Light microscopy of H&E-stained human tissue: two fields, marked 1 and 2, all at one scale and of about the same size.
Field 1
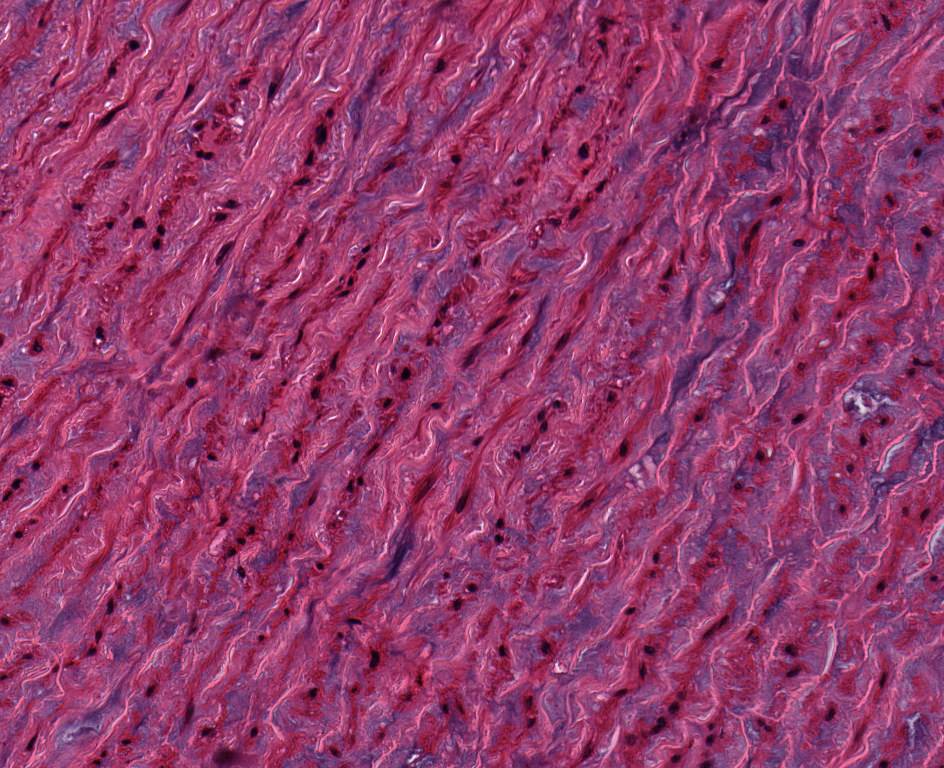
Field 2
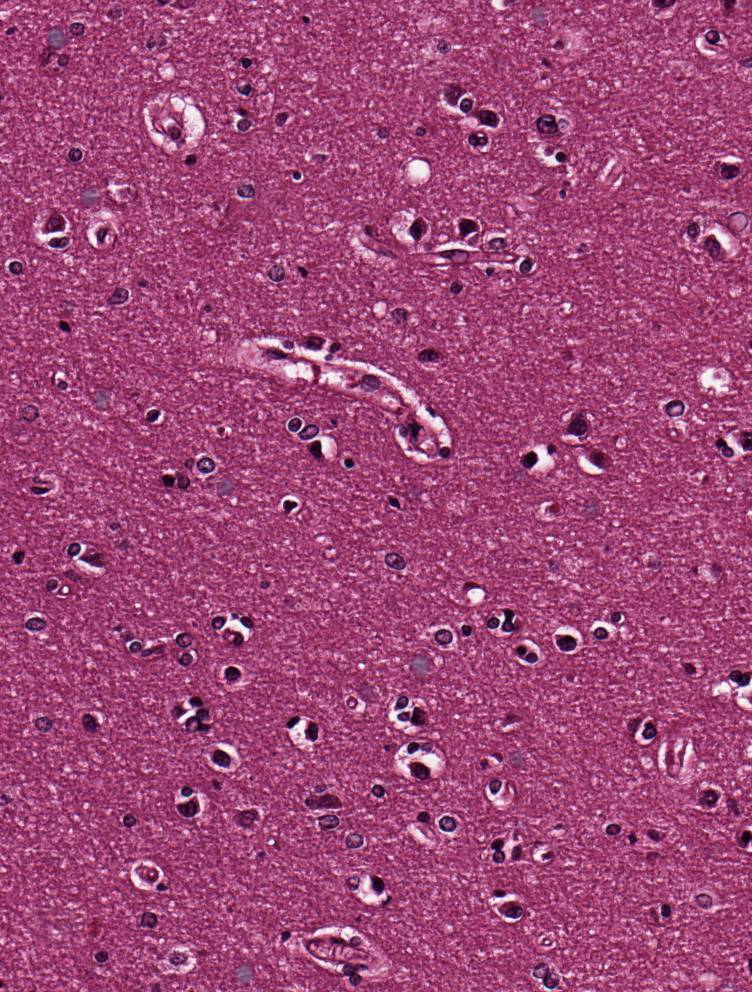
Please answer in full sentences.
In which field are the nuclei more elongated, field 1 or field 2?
Longer, more slender nuclei lie in field 1.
